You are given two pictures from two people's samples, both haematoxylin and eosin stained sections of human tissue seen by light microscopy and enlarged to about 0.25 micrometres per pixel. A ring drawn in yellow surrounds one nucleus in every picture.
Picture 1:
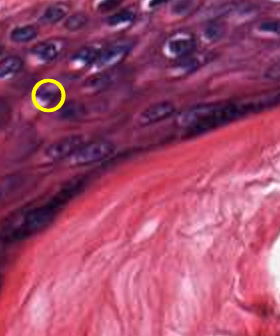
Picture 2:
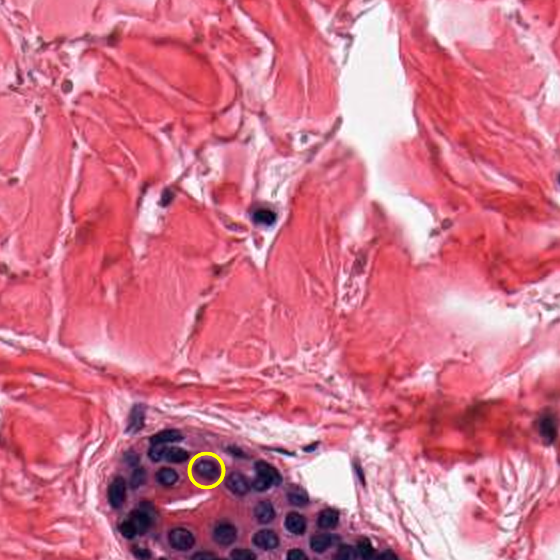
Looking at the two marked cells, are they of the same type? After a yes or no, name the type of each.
No, the first is a keratinocyte and the second a sweat gland cell.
